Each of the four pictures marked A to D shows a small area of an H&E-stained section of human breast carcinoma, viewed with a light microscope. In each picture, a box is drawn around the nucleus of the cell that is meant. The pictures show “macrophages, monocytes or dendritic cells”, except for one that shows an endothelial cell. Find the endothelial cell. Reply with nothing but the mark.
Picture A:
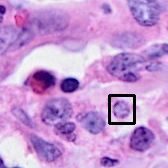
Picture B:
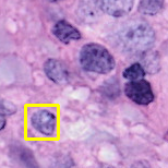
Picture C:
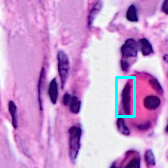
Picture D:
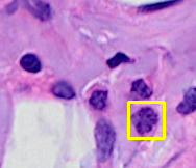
C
